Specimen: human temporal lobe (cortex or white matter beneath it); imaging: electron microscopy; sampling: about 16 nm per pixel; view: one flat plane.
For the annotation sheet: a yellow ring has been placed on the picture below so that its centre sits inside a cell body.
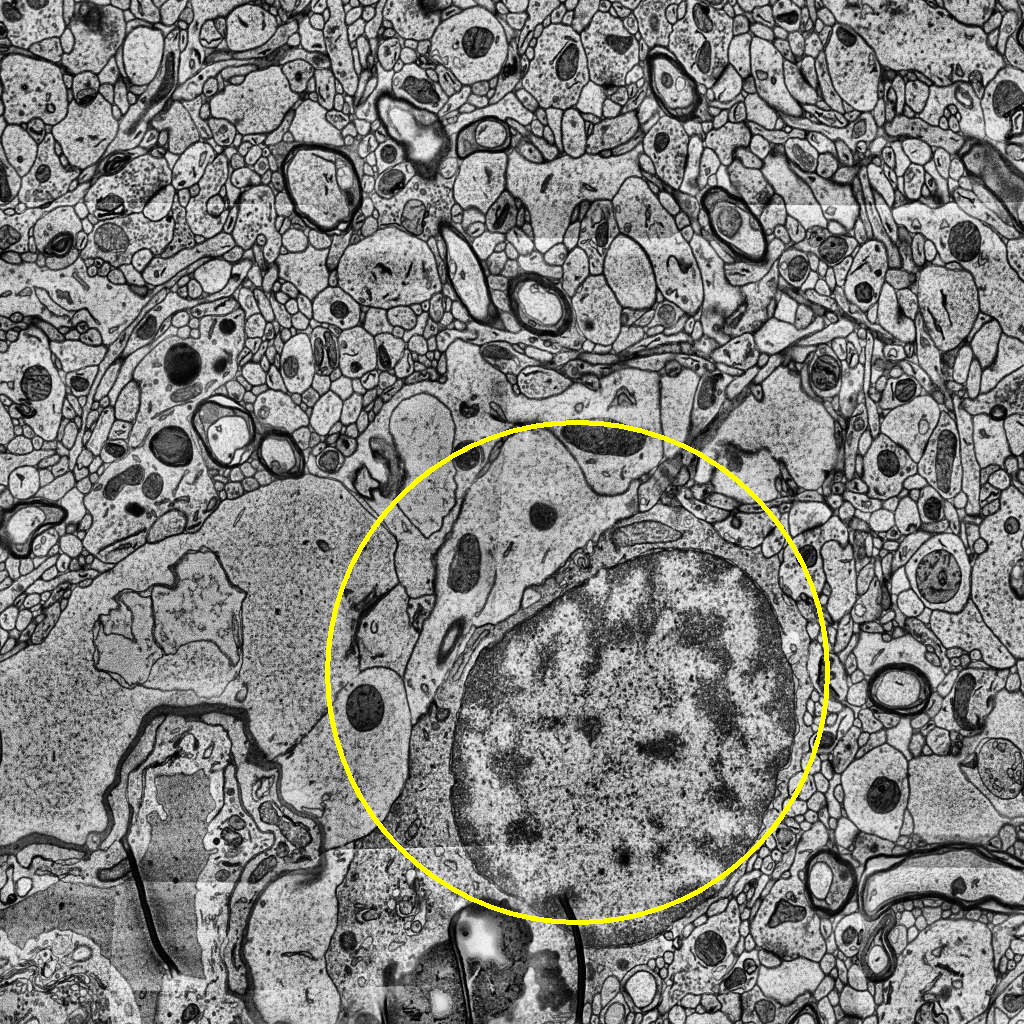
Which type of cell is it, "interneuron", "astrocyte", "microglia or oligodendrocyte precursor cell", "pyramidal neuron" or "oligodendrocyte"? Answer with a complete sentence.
The cell at the ring's centre is an oligodendrocyte.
